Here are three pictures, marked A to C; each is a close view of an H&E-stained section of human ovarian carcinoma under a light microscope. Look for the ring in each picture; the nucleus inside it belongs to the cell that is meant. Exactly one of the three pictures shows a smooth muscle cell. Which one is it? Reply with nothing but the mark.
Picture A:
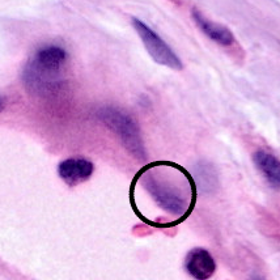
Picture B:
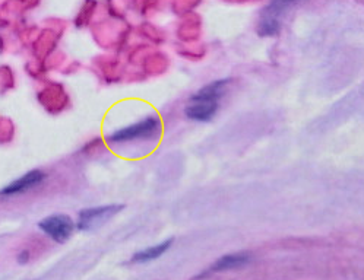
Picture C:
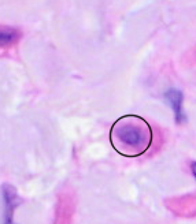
C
